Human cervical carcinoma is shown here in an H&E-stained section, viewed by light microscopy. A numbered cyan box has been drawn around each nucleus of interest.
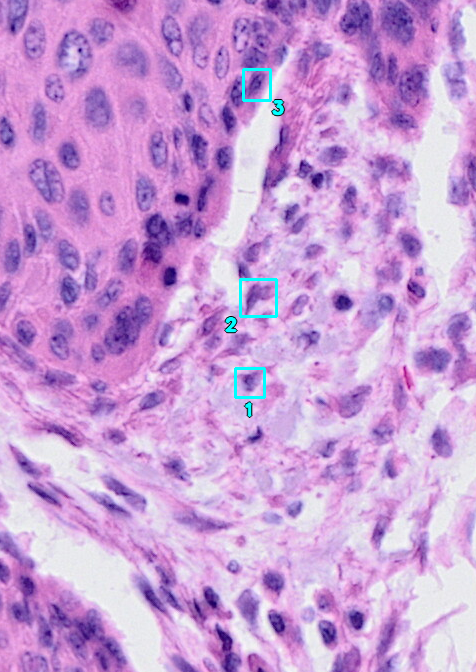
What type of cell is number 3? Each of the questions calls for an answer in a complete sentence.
The cell numbered 3 has been identified as a squamous carcinoma cell.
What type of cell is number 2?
Belonging to a fibroblast is the nucleus that carries the number 2.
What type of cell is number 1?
Within this field of view, the cell labelled 1 is a fibroblast.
